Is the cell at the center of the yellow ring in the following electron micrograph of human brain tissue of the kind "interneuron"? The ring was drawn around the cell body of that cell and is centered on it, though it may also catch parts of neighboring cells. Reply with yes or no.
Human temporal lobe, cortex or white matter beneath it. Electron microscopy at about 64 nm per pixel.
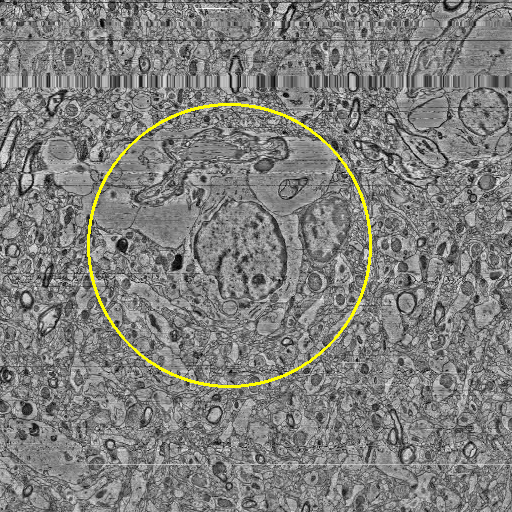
No, it is of another kind.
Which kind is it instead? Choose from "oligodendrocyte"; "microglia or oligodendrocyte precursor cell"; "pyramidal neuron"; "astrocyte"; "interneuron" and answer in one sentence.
Instead, what sits at the centre of the ring is a microglial cell or oligodendrocyte precursor cell.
